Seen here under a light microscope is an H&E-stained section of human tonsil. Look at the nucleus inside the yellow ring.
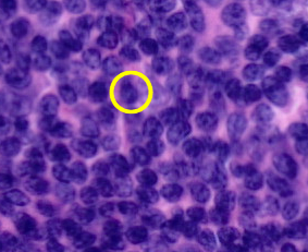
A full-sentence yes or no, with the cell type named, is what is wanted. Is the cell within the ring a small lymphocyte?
Yes, a small lymphocyte is the identity of the cell within the ring in this section.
